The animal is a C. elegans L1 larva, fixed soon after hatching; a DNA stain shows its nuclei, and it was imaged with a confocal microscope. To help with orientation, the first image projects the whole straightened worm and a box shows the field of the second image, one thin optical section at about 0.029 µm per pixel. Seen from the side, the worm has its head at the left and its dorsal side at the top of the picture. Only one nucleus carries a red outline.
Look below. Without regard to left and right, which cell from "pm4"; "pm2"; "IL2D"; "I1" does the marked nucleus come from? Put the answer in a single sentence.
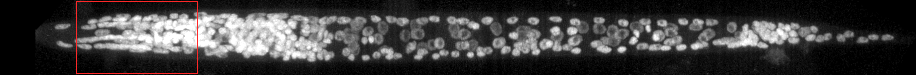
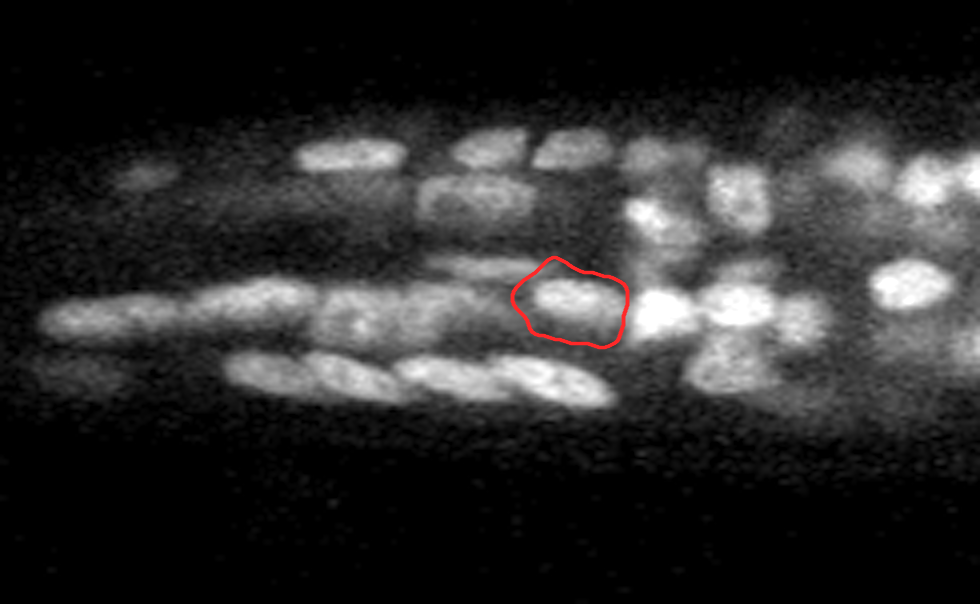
The nucleus is from I1, a neuron.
